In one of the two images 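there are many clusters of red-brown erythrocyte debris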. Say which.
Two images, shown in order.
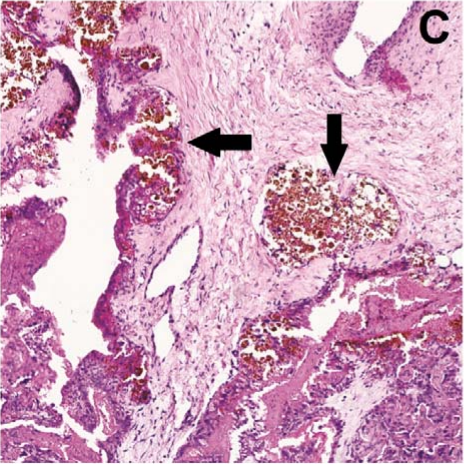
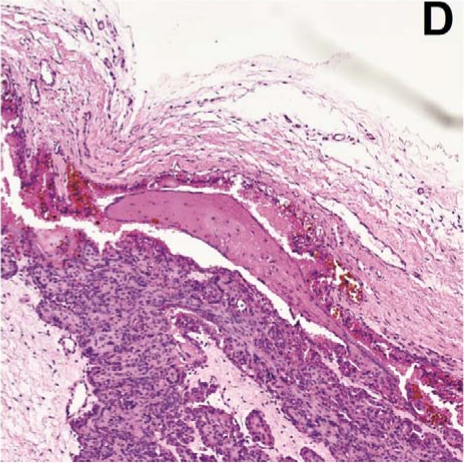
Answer: The first image.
